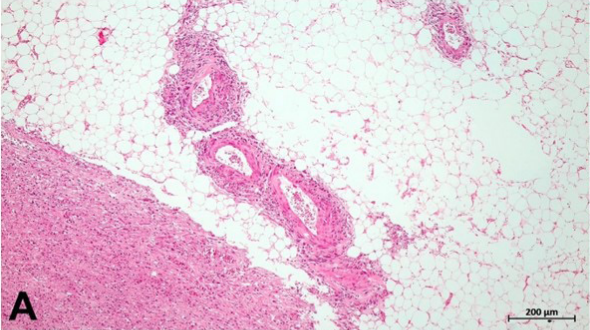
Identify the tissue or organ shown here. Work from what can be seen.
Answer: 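Mature adipose tissue. Most of the field is large, empty, rounded to polygonal vacuoles with thin walls. The vacuoles are of fairly uniform size, like mature fat cells.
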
